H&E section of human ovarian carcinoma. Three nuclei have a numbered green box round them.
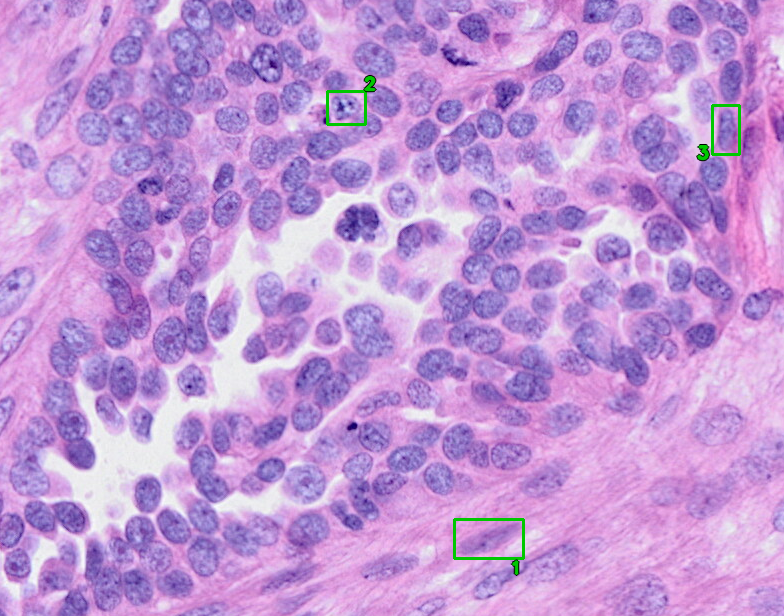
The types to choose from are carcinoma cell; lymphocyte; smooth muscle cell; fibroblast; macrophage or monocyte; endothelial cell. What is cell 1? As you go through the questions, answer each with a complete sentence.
The expected answer is that cell 1 is a fibroblast.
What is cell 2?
Denoted by the label 2 in the section is a macrophage or monocyte.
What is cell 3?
To a carcinoma cell belongs the nucleus marked 3.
